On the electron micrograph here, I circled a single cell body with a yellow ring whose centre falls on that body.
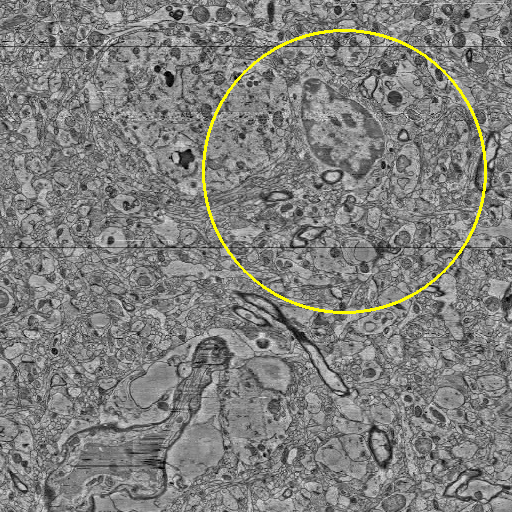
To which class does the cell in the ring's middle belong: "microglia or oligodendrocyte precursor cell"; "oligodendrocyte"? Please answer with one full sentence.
In this picture, the cell body circled at the ring's centre belongs to a microglial cell or oligodendrocyte precursor cell.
